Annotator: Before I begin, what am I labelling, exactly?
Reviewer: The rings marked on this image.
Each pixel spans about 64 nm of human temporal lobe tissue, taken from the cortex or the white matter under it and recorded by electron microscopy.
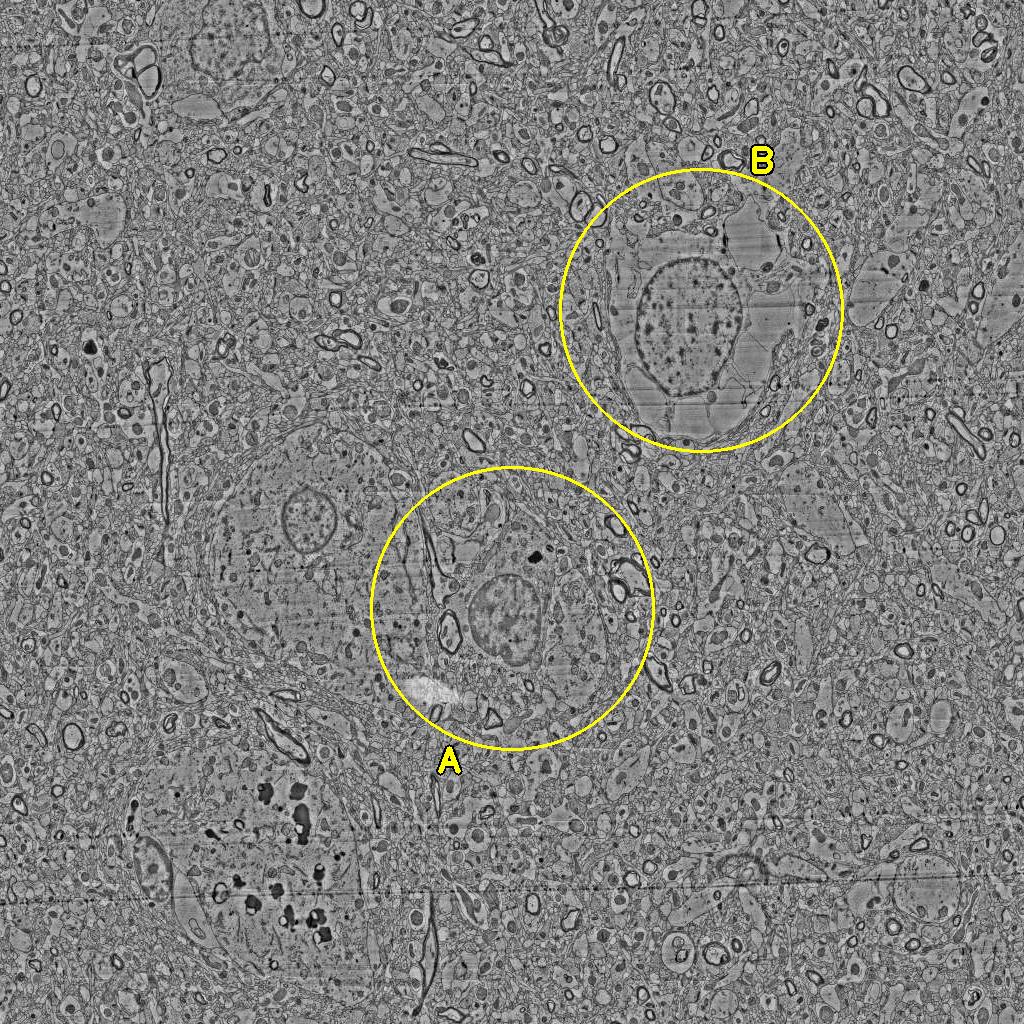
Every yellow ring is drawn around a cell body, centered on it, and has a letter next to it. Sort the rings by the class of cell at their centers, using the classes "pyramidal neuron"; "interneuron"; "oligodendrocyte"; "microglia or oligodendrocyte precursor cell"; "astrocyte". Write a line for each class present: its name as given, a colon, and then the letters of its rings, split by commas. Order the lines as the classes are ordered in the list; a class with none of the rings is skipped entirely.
oligodendrocyte: A
astrocyte: B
